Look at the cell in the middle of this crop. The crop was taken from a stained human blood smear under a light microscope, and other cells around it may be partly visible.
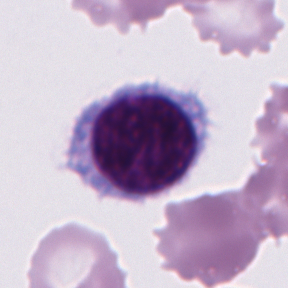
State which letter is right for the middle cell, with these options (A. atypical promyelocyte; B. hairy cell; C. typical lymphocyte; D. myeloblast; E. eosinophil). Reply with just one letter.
B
